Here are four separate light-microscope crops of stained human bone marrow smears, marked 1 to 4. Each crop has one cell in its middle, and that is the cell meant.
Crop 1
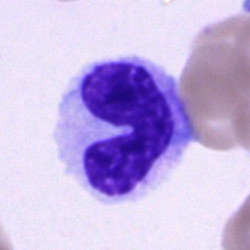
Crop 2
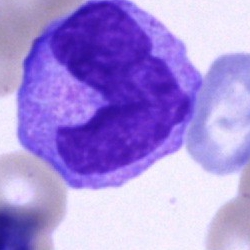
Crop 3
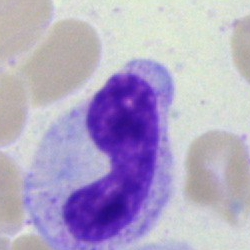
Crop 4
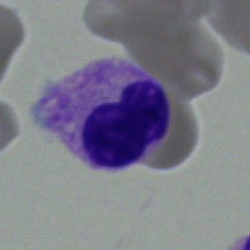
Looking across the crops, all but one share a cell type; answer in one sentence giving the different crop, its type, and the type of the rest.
The different crop is crop 2, a monocyte; all the others show band neutrophils.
